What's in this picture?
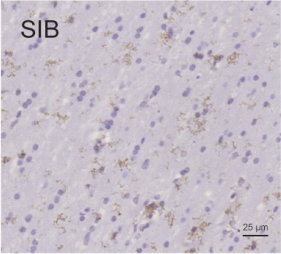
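This is brain parenchyma with many brown-stained microglial cells among blue-counterstained nuclei. The background neuropil is pale grey-violet. Across the whole field, clusters of brown granular deposits mark small cells with irregular bodies and short, fine branching profiles, scattered fairly evenly rather than in one focus. Many blue nuclei, some elongated and some oval, lie throughout the tissue, several close to or within the brown deposits. Unstained nuclei outnumber the brown cells.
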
